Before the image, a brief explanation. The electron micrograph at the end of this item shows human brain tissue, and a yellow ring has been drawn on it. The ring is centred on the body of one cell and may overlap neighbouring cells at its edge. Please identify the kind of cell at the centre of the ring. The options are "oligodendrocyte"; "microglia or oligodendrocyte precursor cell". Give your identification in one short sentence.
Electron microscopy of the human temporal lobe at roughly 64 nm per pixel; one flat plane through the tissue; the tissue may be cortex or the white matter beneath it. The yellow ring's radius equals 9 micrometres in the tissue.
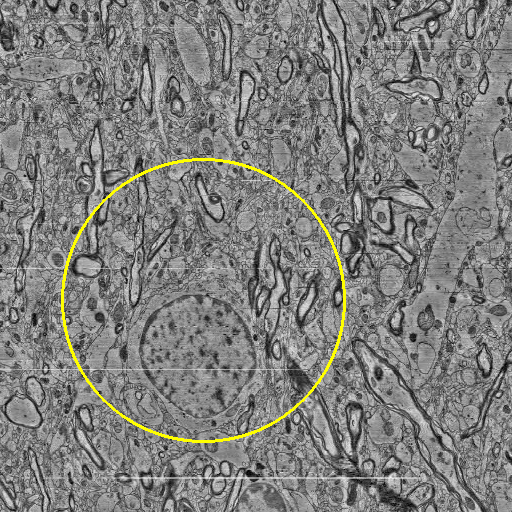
The ring has been placed around a microglial cell or oligodendrocyte precursor cell.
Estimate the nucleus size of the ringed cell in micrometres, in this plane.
The ringed cell's nucleus is about 8 micrometres across in this plane.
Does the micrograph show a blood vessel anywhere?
No, none shows.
